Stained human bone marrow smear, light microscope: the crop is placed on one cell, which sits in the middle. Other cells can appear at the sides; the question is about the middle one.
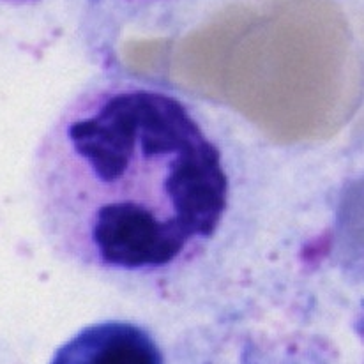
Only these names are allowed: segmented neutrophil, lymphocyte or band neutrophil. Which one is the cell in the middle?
segmented neutrophil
